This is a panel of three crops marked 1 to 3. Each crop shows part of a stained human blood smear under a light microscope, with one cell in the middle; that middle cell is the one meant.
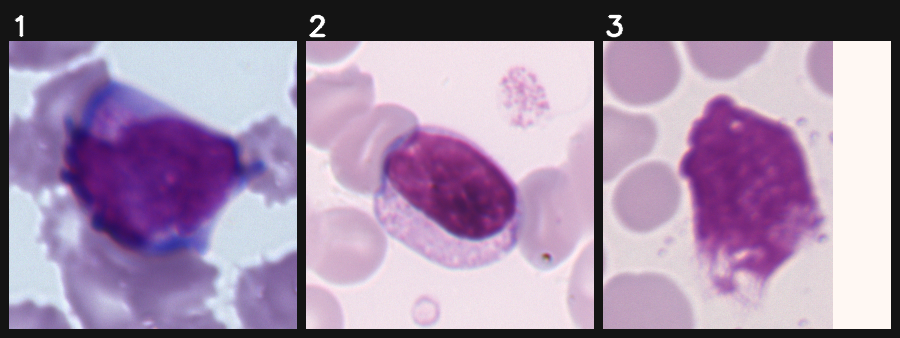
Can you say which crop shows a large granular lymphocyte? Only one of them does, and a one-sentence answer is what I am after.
Crop 2 represents a large granular lymphocyte, while the other crops do not.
